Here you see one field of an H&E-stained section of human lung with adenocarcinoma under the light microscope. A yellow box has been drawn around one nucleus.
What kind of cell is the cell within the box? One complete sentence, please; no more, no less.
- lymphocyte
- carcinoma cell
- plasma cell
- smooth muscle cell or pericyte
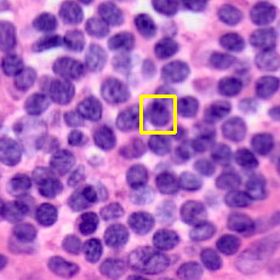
For the purposes of cell typing, the cell within the box is categorized as a lymphocyte.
